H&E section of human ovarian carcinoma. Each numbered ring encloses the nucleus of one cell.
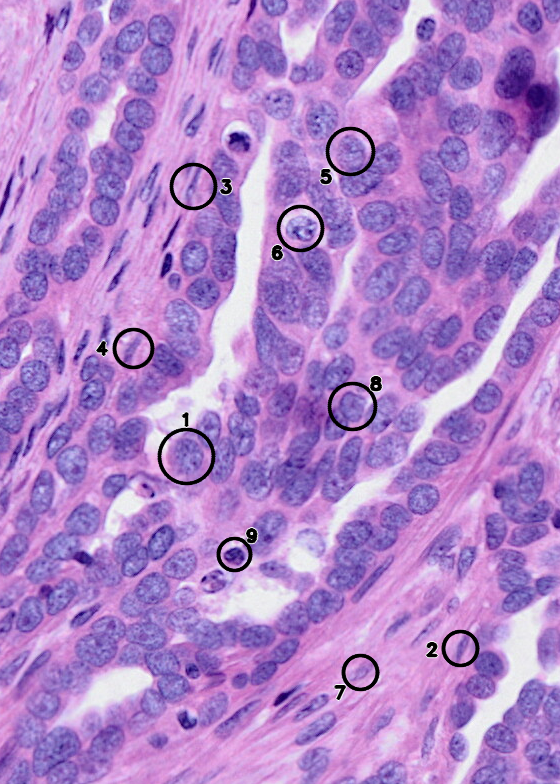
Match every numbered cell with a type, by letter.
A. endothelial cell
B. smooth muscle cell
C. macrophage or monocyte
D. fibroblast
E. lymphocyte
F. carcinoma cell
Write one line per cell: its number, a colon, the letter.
1: F
2: D
3: D
4: D
5: F
6: C
7: D
8: F
9: E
